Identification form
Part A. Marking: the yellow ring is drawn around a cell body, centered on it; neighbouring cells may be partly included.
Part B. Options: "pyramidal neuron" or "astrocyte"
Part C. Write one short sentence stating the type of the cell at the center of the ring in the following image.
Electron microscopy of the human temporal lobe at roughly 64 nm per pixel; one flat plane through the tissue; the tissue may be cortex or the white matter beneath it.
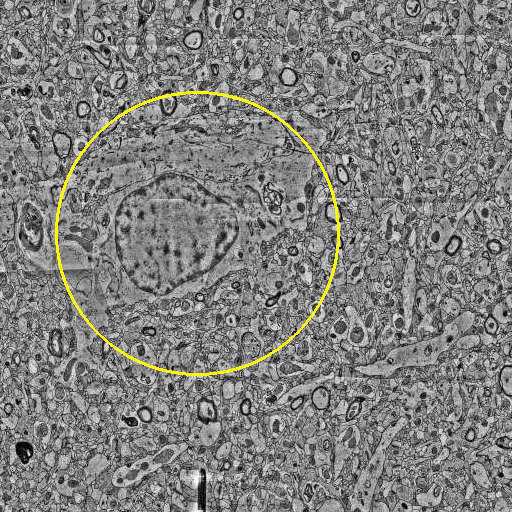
The center of the ring holds an astrocyte.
